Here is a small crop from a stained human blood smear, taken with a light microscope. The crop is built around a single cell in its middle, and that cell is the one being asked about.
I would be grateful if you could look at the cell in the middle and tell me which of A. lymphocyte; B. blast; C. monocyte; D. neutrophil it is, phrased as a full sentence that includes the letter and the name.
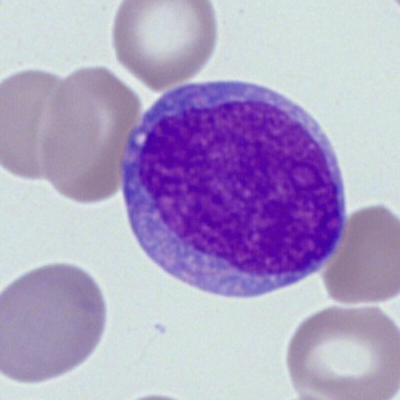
The central cell, a blast, is correctly identified by option B.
